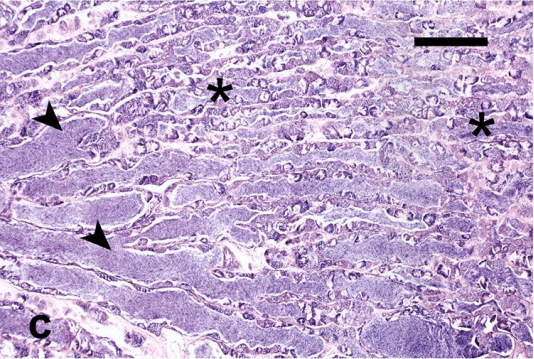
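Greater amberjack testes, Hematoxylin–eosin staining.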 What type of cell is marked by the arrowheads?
Luminal spermatozoa.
